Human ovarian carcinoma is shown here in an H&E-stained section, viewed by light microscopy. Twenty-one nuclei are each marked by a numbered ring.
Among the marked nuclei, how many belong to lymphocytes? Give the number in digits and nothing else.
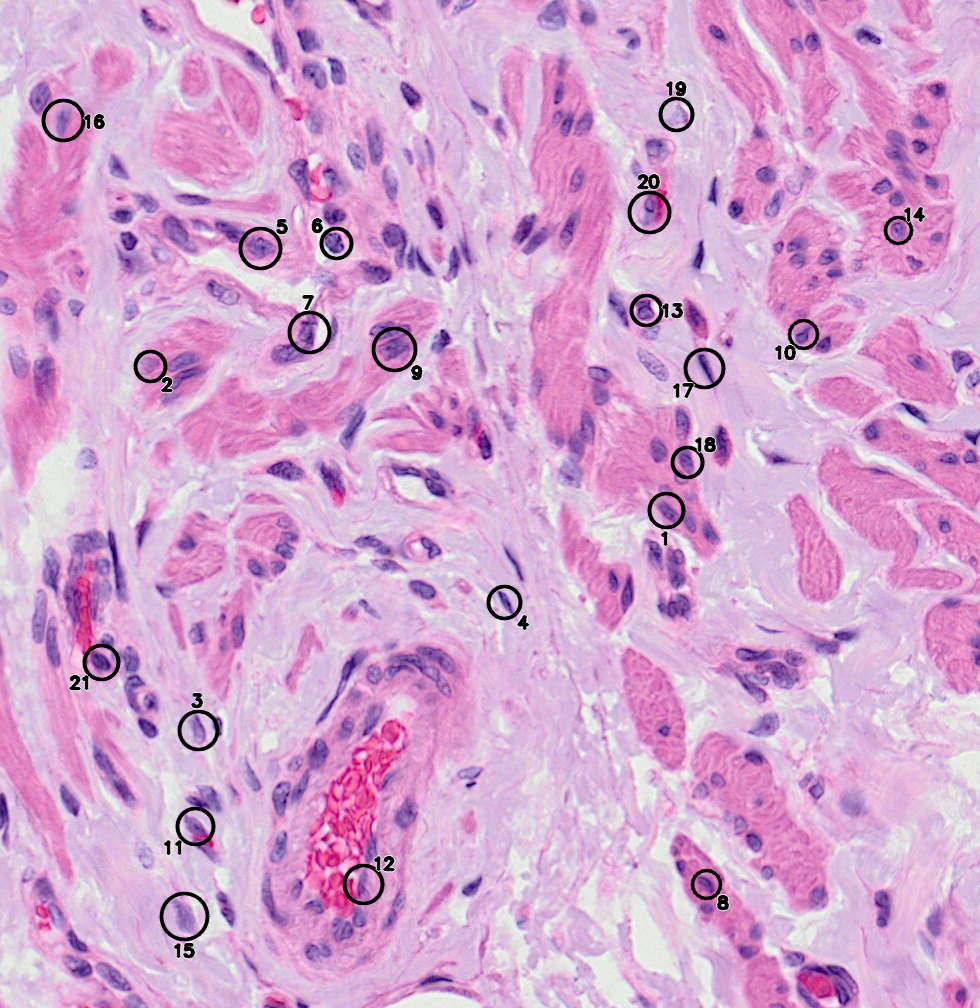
1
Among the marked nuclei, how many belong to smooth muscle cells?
8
